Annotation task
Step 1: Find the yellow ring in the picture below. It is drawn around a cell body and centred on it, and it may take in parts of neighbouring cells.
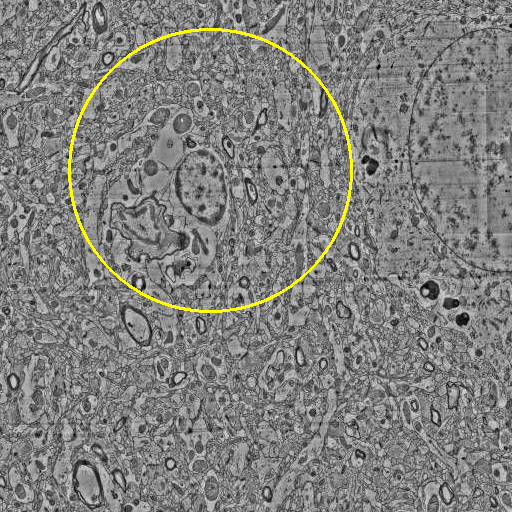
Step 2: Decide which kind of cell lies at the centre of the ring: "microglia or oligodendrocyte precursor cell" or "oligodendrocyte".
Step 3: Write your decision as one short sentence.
The kind of cell at the ring's centre is a microglial cell or oligodendrocyte precursor cell.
